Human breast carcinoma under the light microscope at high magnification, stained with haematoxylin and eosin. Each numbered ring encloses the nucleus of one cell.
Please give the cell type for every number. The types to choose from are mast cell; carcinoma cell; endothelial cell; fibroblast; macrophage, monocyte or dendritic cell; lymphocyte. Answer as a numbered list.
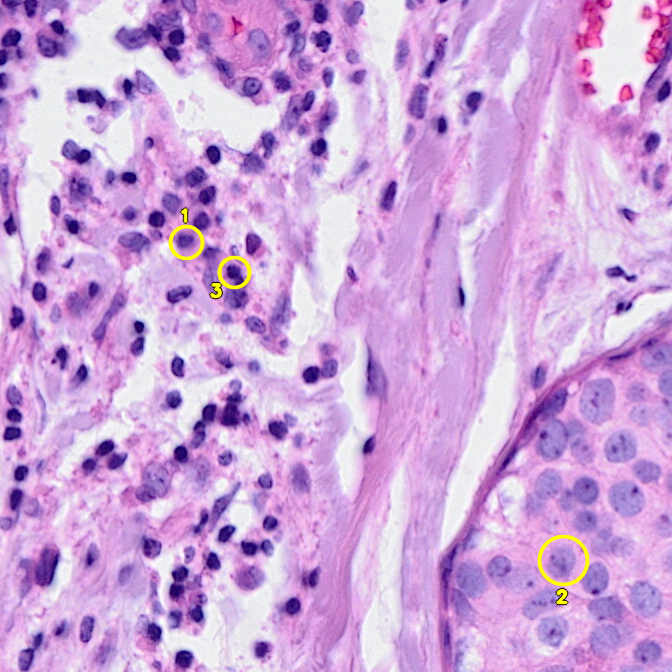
1. lymphocyte
2. carcinoma cell
3. lymphocyte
